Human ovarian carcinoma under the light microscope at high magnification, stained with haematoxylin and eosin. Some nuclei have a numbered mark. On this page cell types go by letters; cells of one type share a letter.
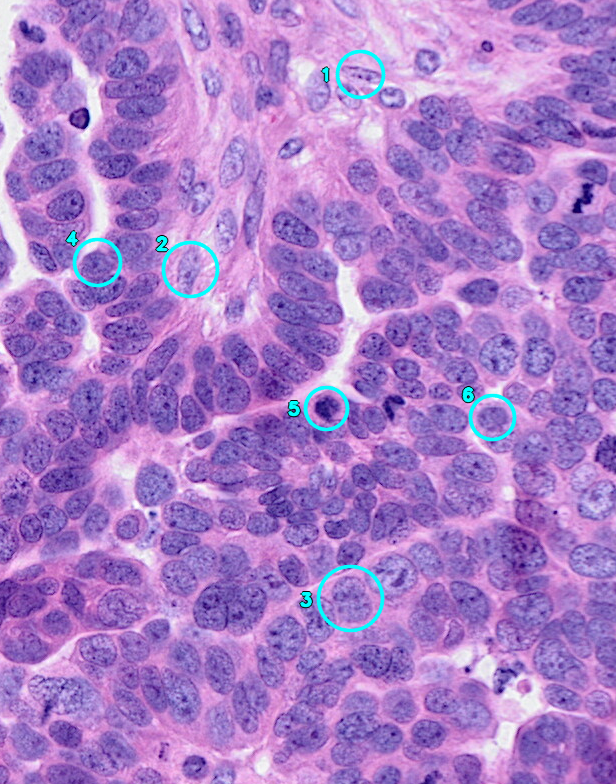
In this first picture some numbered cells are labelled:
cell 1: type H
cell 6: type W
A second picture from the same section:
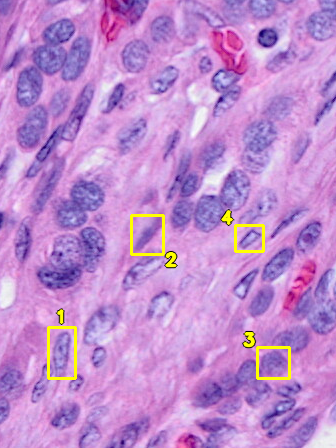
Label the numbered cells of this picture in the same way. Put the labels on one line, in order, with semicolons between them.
type H; type H; type W; type H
